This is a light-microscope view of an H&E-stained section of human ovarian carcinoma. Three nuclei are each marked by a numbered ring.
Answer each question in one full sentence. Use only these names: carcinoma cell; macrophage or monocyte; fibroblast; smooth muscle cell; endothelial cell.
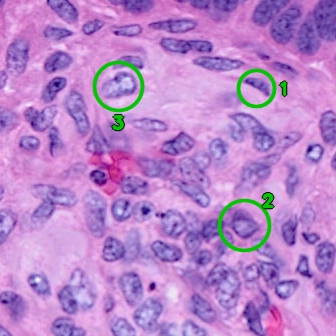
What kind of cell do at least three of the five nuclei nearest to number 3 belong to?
Of the five nuclei nearest to number 3, most belong to fibroblasts.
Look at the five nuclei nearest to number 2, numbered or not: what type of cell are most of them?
The majority of the five nuclei closest to number 2 belong to endothelial cells.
